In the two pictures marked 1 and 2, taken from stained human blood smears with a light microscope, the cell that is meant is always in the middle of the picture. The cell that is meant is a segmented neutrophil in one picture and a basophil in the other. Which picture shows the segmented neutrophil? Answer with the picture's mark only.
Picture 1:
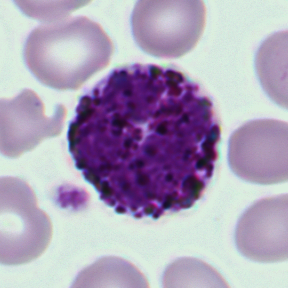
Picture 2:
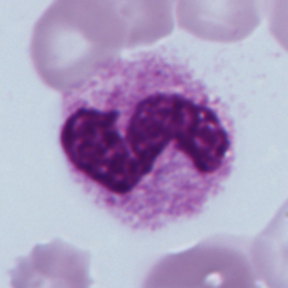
2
